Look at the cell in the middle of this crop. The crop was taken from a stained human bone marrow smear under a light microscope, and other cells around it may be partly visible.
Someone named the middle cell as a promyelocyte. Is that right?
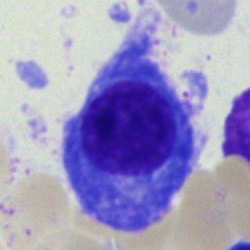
no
